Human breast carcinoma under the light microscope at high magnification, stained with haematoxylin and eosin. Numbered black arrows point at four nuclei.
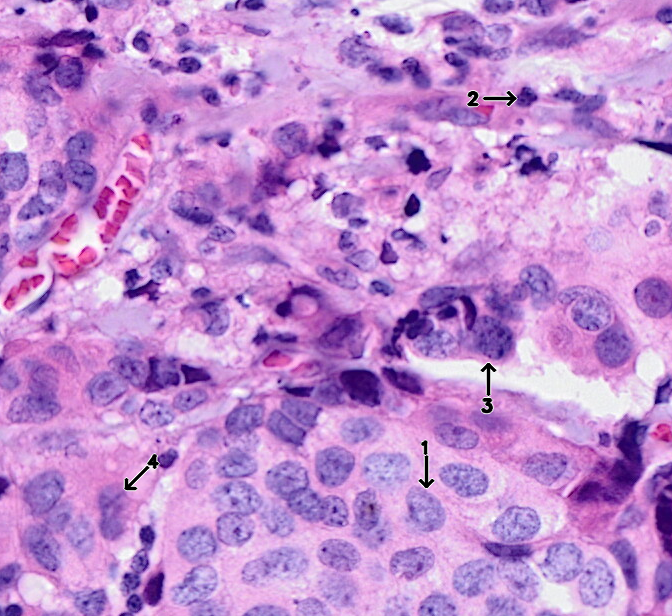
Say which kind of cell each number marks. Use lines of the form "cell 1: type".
cell 1: carcinoma cell
cell 2: lymphocyte
cell 3: carcinoma cell
cell 4: carcinoma cell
